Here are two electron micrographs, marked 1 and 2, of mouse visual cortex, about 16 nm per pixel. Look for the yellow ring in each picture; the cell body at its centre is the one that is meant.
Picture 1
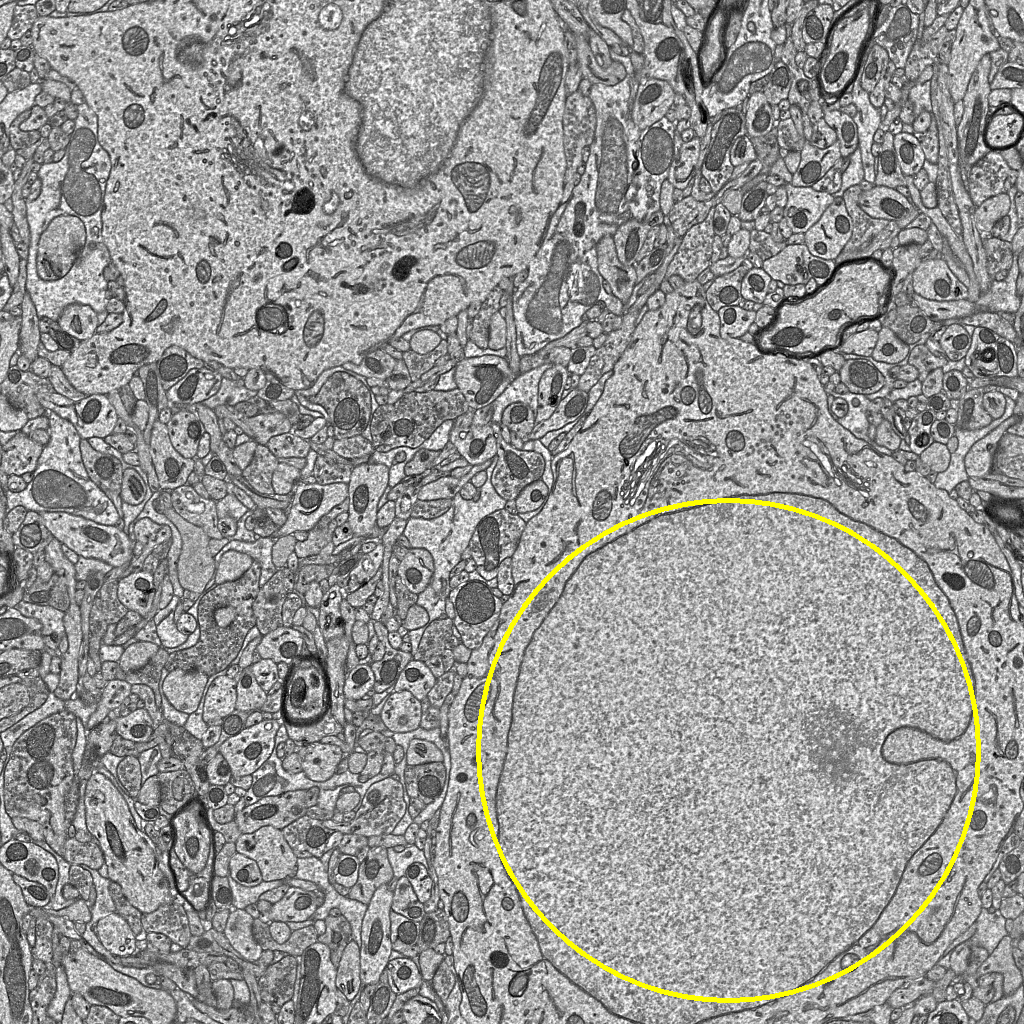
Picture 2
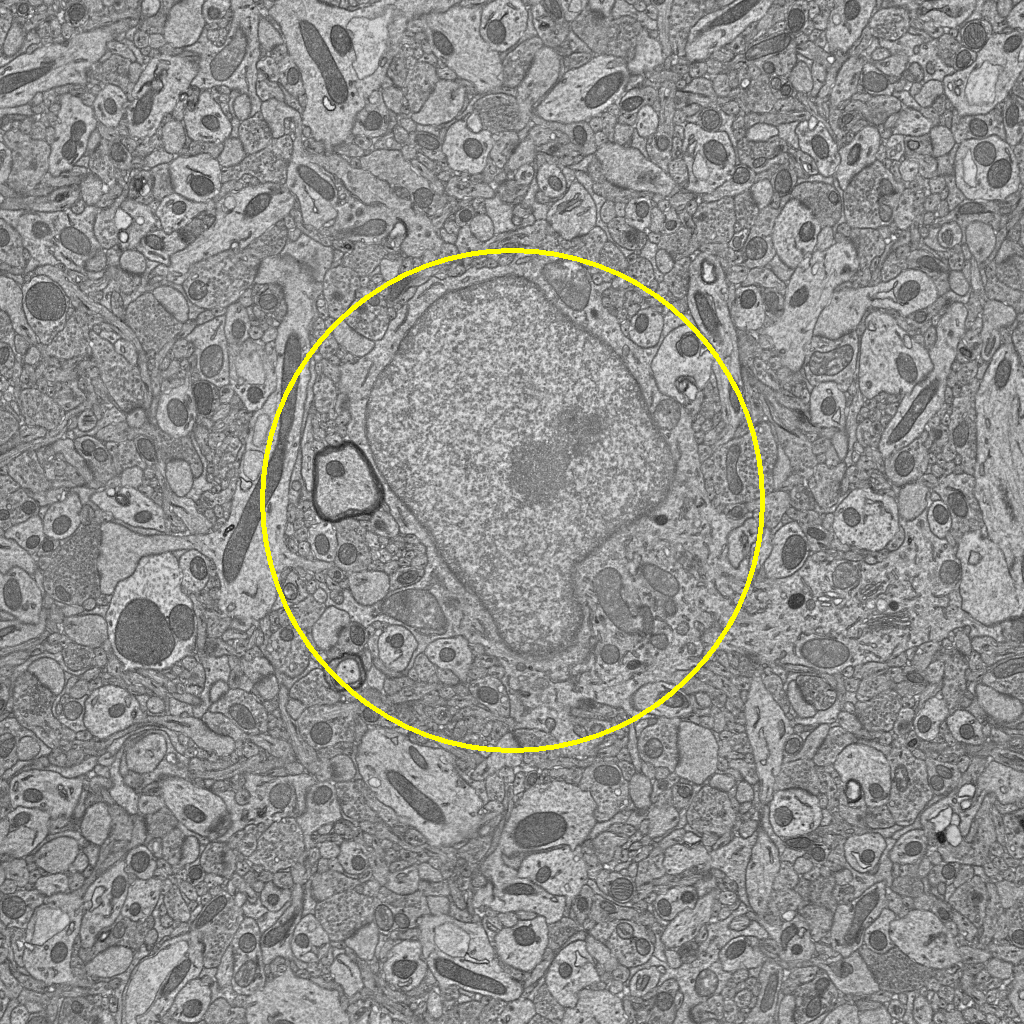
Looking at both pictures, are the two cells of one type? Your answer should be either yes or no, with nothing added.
no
